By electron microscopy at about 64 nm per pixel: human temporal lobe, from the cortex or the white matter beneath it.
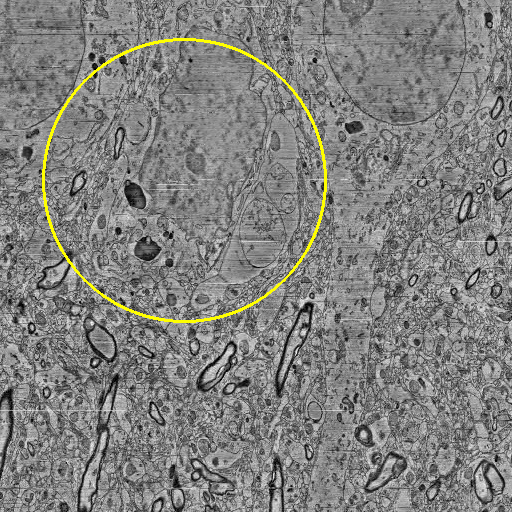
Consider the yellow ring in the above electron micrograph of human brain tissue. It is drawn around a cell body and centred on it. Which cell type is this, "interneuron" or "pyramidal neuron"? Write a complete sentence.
The cell in question is an interneuron.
